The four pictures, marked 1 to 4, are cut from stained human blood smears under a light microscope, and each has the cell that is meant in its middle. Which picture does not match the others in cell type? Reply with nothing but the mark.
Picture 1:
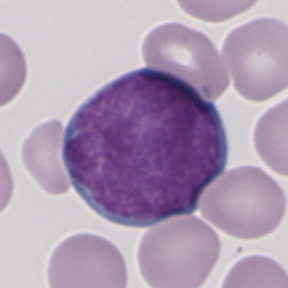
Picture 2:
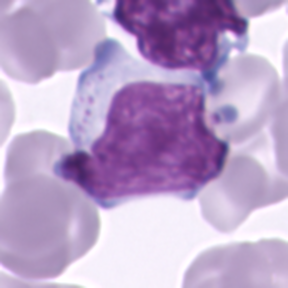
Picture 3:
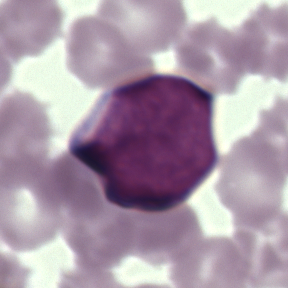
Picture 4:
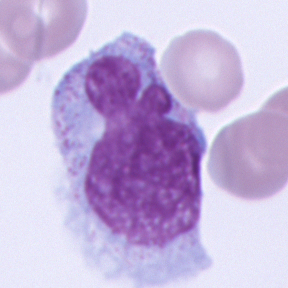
2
